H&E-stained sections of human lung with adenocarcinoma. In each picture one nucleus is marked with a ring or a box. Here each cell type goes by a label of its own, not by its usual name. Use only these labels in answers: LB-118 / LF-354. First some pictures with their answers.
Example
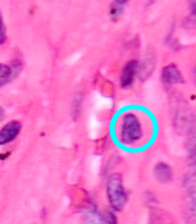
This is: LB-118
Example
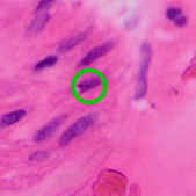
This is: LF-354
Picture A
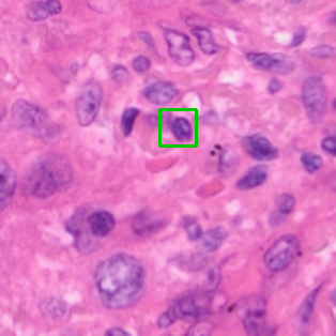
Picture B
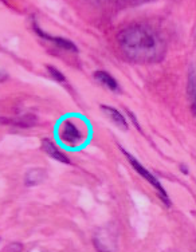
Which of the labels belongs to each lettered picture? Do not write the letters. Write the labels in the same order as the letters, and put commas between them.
LB-118, LB-118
